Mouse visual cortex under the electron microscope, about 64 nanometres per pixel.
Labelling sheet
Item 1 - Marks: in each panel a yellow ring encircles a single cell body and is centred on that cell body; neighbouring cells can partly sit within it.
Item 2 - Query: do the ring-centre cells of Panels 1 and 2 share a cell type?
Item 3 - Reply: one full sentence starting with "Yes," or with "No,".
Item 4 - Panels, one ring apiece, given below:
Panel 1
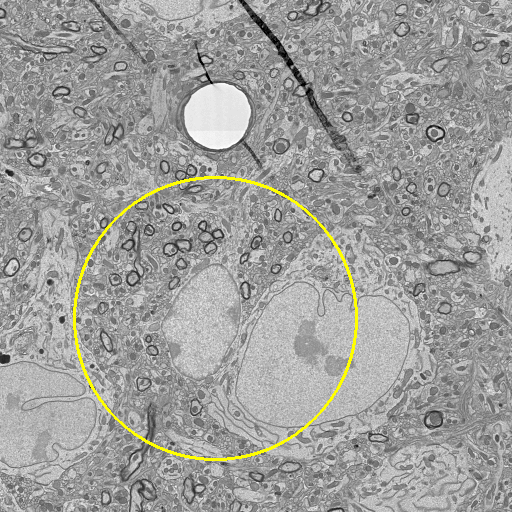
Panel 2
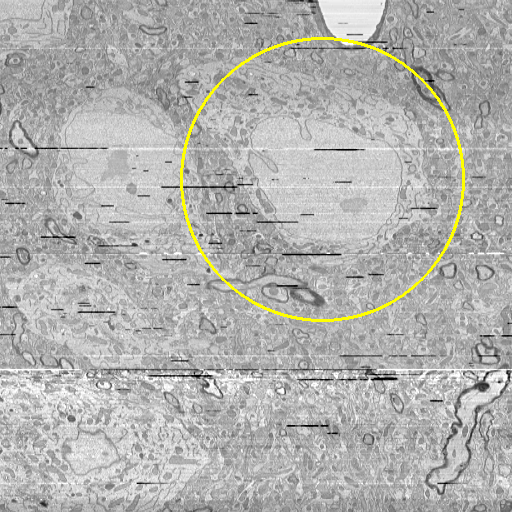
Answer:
No, Panel 1 and Panel 2 show two cell types at the centres of their rings.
